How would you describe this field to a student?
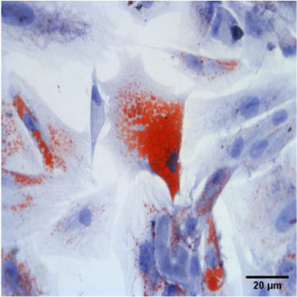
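Cultured cells of varied shape, some spindle-shaped and some broad and irregular, lie across the field. Their nuclei are oval and blue. Several cells contain many small red droplets in the cytoplasm, and one central cell is filled with dense red material around a dark nucleus. Other cells show only pale blue cytoplasm without red droplets. The cells are crowded and partly overlap at the lower edge.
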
